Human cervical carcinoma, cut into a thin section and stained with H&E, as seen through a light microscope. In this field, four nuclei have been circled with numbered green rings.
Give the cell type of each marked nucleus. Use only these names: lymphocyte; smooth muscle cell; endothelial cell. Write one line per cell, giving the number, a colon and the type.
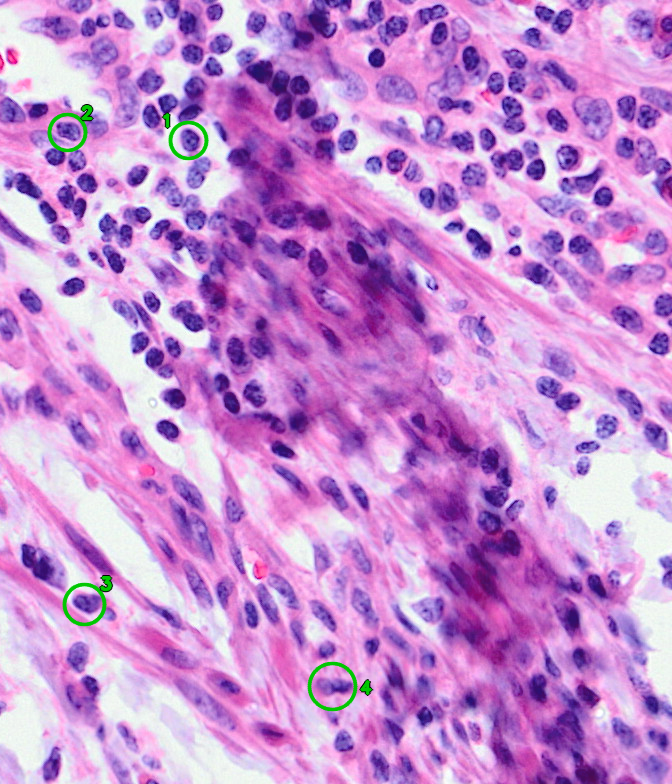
1: lymphocyte
2: lymphocyte
3: lymphocyte
4: smooth muscle cell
